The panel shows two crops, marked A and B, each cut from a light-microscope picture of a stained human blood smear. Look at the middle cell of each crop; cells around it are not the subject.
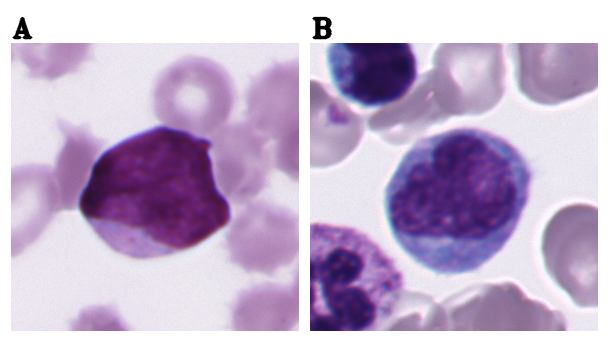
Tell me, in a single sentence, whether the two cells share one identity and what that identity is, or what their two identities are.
No, crop A depicts a myeloblast; crop B depicts a monocyte.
